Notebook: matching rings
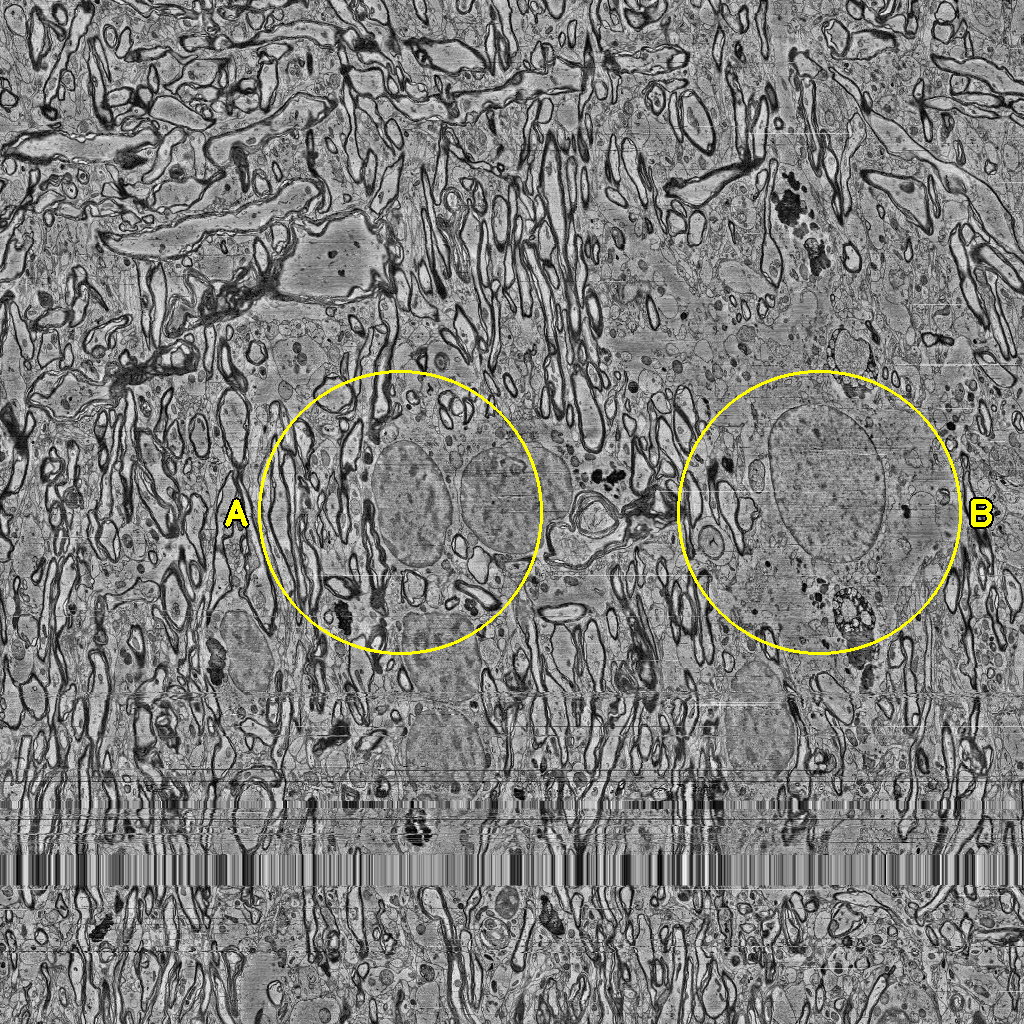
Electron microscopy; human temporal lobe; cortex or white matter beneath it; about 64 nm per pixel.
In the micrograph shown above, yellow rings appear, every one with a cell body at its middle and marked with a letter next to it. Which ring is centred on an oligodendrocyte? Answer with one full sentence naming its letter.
A cell of that kind lies at the centre of the ring lettered A.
